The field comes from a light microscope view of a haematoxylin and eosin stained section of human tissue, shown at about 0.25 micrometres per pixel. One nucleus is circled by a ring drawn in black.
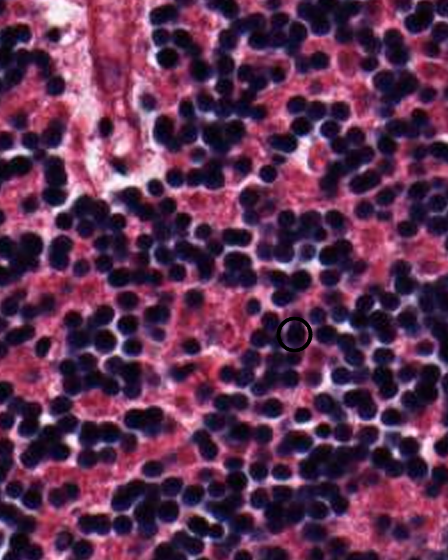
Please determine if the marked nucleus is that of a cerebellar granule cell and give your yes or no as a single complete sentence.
Yes, a cerebellar granule cell is the cell that the marked nucleus belongs to.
